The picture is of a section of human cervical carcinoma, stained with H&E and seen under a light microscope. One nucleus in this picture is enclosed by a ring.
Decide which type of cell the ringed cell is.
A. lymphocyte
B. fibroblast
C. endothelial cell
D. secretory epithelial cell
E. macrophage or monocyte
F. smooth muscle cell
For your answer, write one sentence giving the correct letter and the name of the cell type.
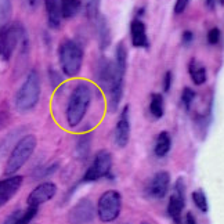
Option D matches the ringed cell, which is a secretory epithelial cell.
